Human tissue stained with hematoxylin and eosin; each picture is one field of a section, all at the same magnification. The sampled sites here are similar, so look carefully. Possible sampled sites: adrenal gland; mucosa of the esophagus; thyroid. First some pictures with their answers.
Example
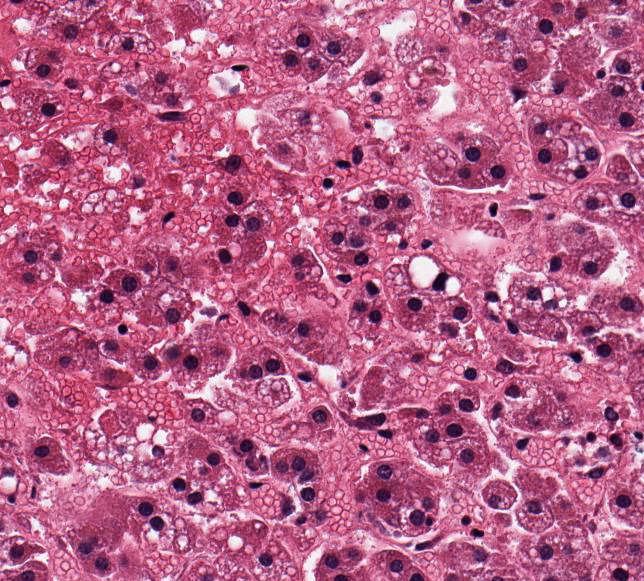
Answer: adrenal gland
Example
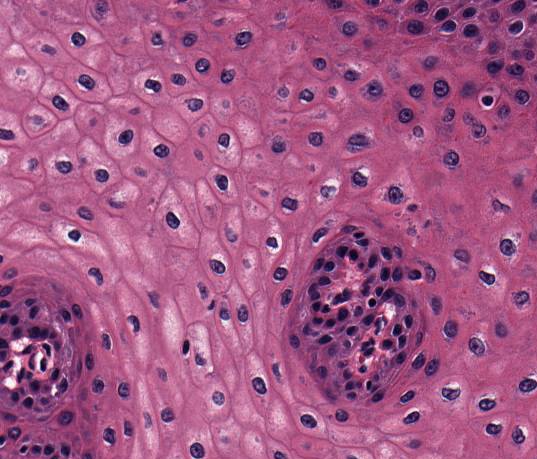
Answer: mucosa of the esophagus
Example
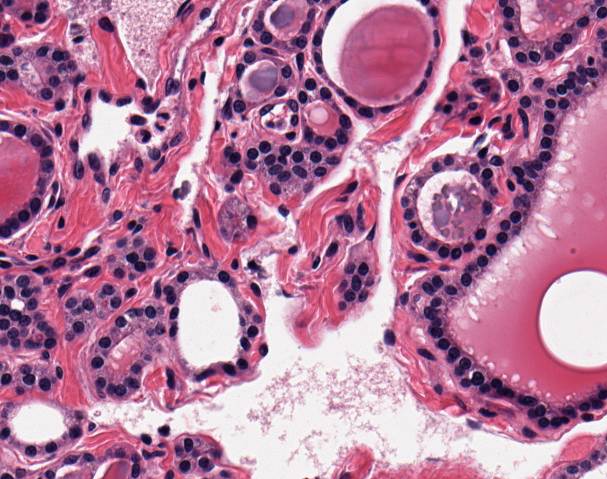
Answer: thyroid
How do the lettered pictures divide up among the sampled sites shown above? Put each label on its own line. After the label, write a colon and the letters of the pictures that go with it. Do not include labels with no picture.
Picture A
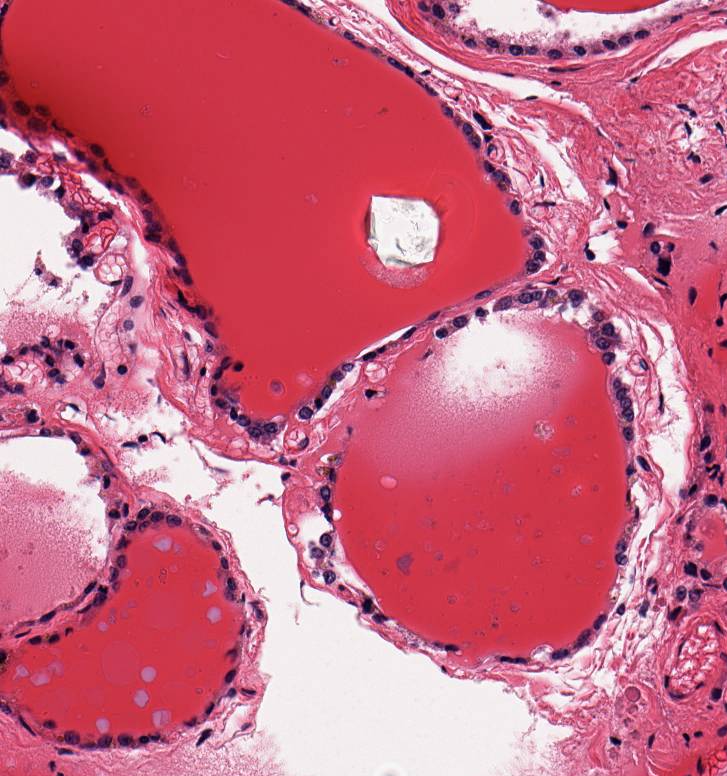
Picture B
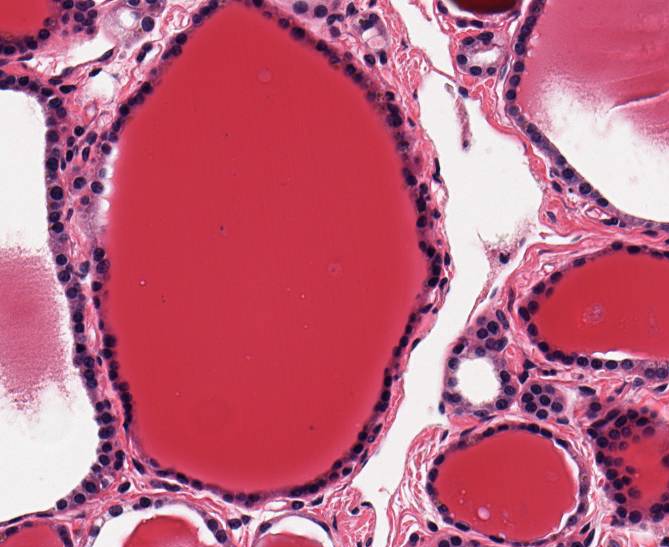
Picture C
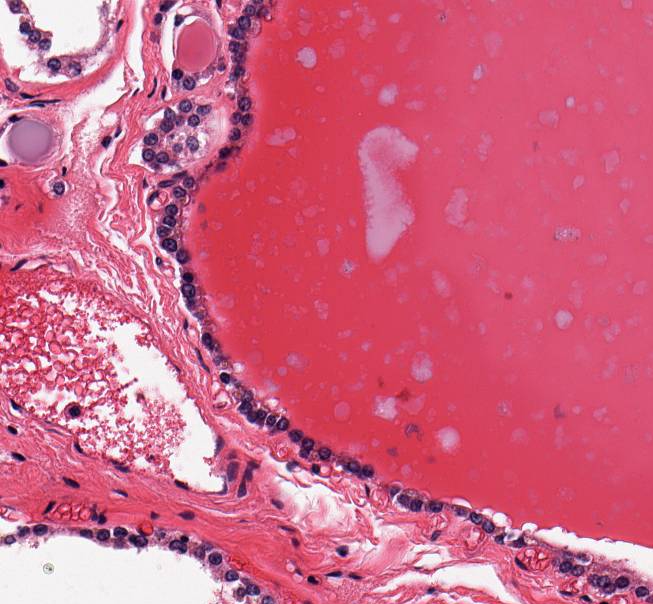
thyroid: A, B, C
